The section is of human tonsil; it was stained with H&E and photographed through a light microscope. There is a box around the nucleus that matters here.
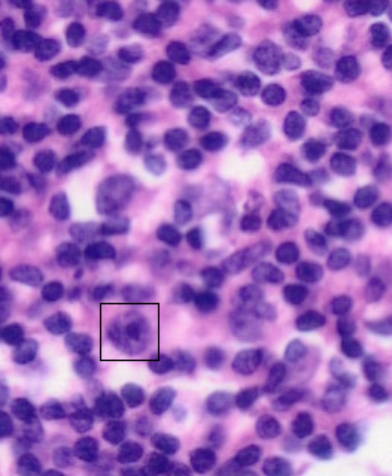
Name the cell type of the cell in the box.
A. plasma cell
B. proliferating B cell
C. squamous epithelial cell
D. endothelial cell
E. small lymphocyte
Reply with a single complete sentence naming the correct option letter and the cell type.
Option B describes the cell in the box accurately as a proliferating B cell.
